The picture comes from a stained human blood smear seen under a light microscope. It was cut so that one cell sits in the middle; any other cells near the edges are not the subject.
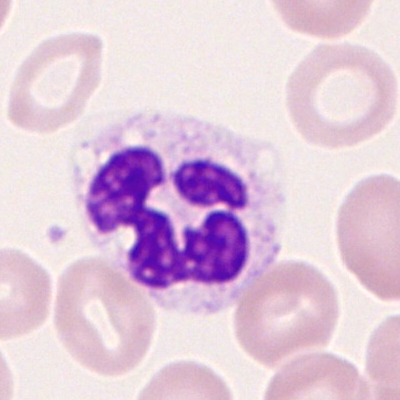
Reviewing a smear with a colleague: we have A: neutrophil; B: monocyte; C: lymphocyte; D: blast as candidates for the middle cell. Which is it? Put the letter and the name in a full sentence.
Identification: the cell in the middle is a neutrophil, matching option A.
